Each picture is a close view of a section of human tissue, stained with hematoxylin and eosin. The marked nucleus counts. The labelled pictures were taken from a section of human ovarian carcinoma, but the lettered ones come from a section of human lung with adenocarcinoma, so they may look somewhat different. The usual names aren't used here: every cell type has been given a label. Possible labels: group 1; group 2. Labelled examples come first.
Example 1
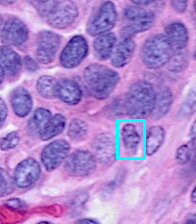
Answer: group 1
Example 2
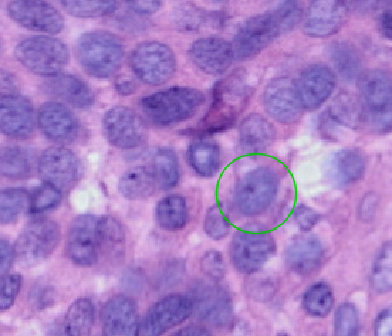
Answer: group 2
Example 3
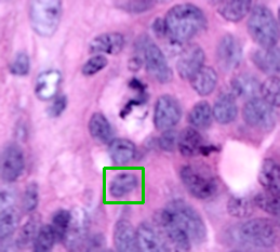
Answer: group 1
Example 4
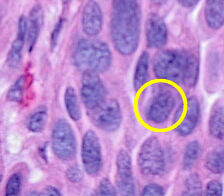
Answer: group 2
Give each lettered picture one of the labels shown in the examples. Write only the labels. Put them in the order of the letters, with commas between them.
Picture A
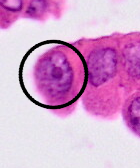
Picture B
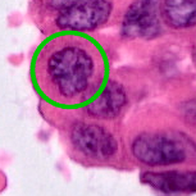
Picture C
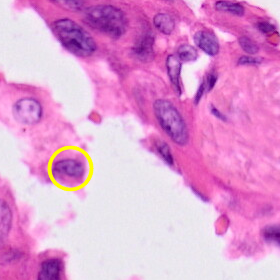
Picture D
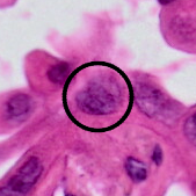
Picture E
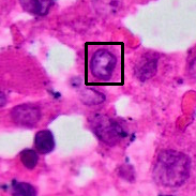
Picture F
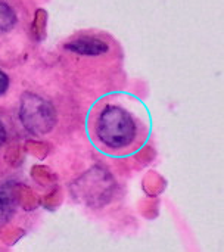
group 2, group 2, group 1, group 2, group 1, group 1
